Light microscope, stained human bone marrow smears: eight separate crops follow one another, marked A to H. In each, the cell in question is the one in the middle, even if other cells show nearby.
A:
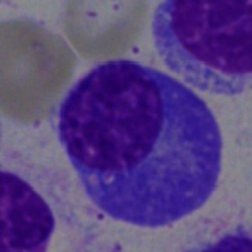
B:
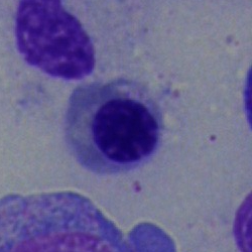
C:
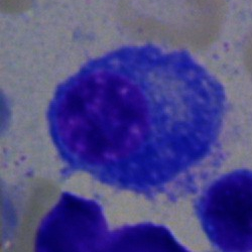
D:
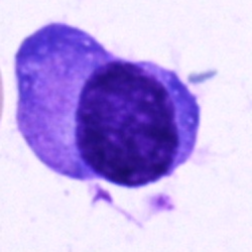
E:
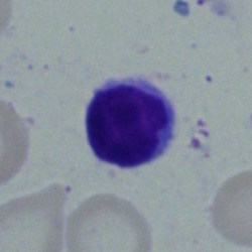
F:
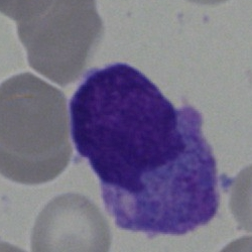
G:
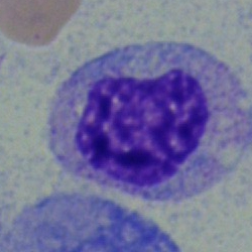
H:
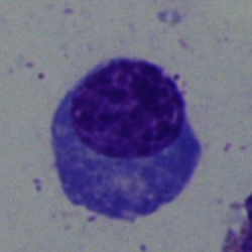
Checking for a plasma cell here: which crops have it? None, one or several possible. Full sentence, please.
Crops A, C, D and H show plasma cells as their middle cells.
